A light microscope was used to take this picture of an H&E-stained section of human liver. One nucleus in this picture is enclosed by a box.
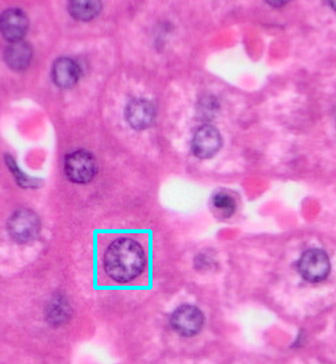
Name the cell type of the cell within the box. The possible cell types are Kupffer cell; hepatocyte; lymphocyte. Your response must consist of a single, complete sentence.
At the level of cell identity, the cell within the box is a hepatocyte.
